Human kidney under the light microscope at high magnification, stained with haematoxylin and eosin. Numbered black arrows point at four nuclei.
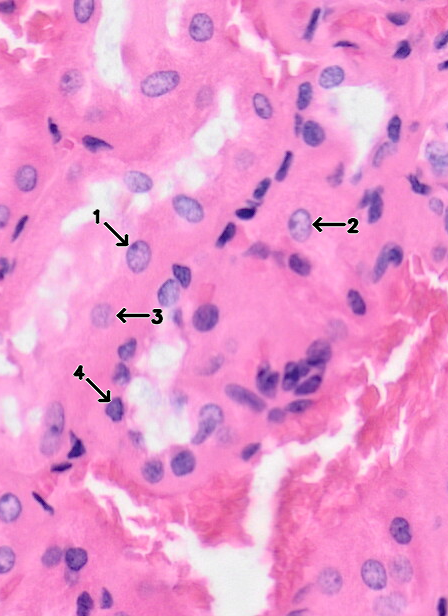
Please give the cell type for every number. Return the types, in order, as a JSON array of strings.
["proximal tubule cell", "proximal tubule cell", "proximal tubule cell", "loop of Henle or distal tubule cell"]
